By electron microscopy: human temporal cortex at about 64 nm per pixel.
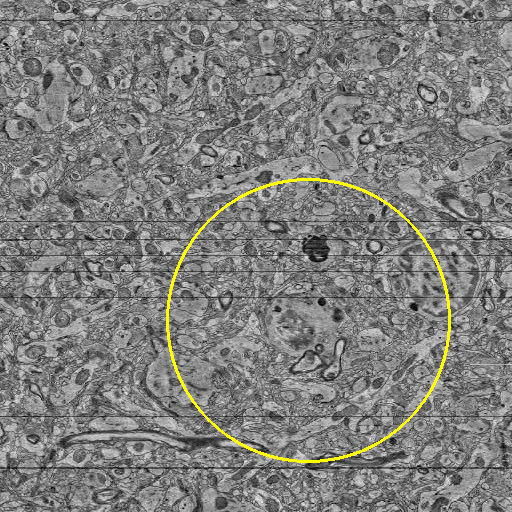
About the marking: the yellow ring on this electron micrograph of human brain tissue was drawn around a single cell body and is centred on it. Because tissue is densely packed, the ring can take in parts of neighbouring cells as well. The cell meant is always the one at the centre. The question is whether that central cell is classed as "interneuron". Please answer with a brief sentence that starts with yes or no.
No, the central cell belongs to another class.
